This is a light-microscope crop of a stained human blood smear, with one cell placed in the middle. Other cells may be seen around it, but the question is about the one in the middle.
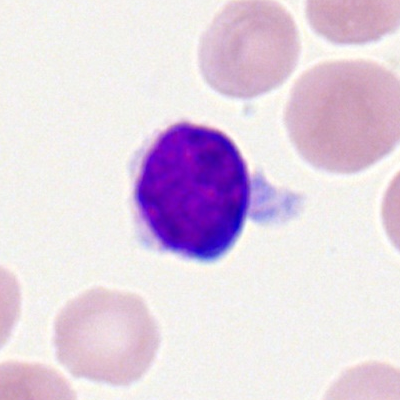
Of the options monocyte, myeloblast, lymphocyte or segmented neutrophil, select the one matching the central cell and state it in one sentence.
The cell that lies at the centre of the crop is a lymphocyte.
